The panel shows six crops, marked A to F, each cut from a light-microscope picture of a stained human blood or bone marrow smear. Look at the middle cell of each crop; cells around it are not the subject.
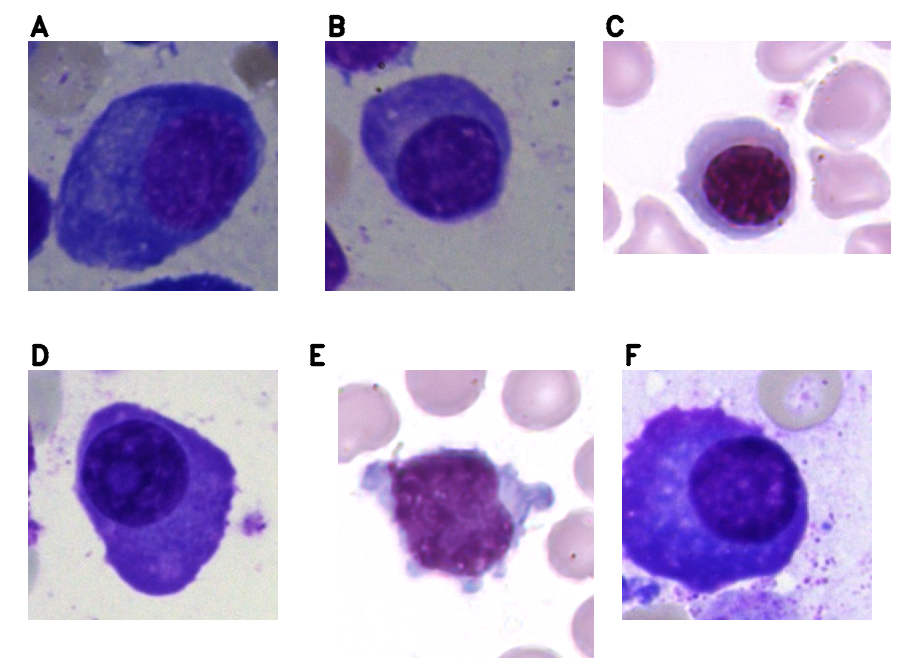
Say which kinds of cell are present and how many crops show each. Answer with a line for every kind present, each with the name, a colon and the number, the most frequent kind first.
plasma cell: 5
erythroblast: 1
